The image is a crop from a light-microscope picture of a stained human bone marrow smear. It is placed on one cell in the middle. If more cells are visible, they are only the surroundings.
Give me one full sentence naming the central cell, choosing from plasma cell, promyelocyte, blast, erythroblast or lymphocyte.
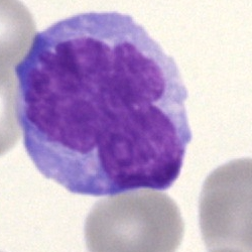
The single cell at the center of the crop is a blast.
